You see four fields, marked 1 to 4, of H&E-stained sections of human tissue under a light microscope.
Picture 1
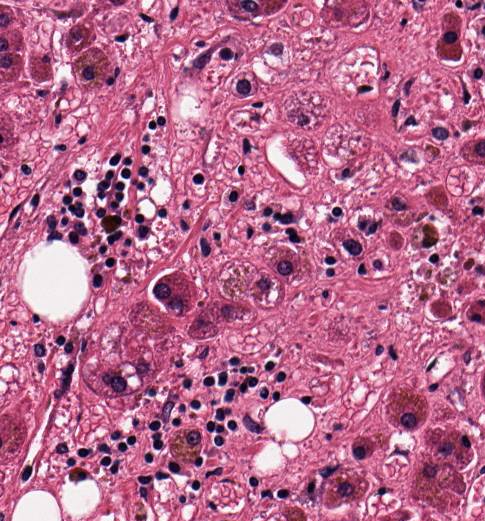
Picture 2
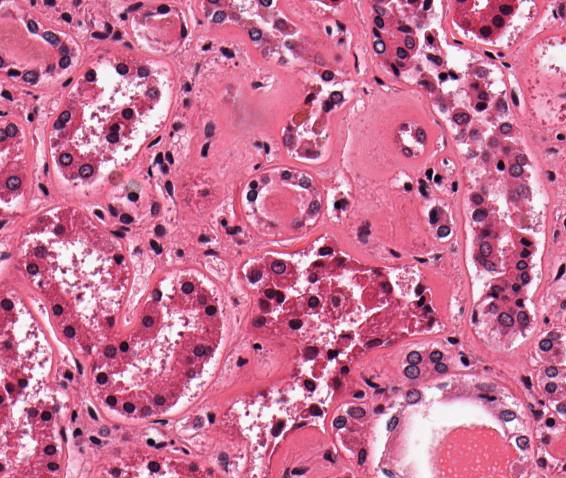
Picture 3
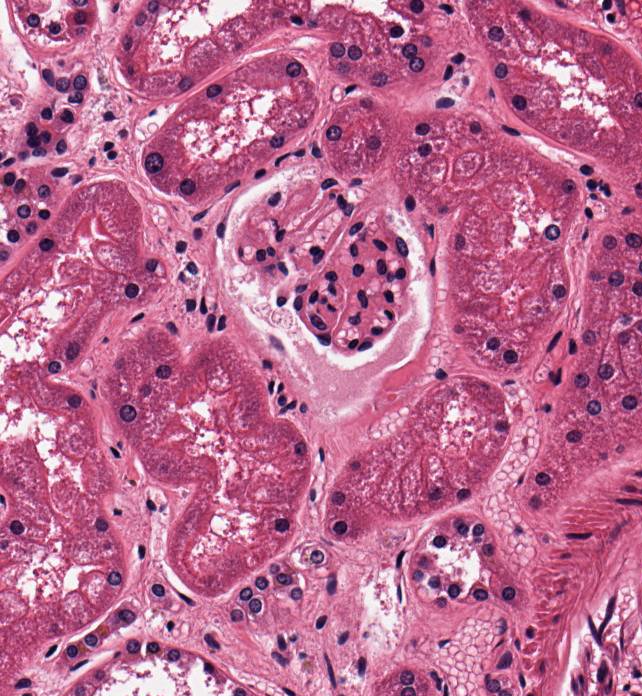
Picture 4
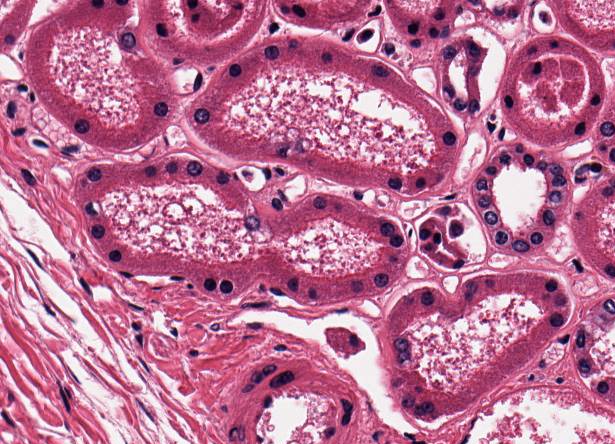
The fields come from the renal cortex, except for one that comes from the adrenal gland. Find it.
1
